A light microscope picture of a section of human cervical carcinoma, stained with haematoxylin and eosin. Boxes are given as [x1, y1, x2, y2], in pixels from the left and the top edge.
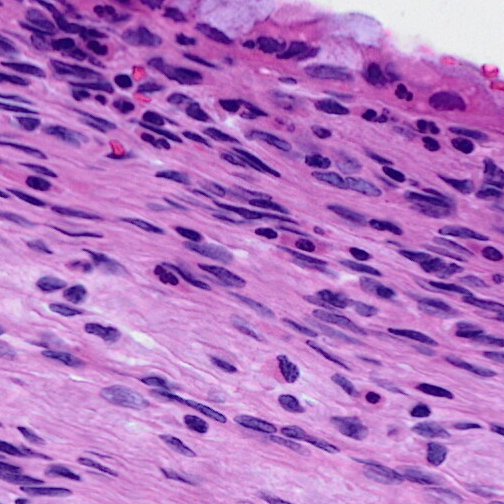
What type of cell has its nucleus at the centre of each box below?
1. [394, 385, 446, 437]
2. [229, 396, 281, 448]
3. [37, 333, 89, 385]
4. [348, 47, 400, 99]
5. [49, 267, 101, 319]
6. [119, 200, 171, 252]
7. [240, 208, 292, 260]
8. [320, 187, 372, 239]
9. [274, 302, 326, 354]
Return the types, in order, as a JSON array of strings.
["lymphocyte", "endothelial cell", "endothelial cell", "secretory epithelial cell", "lymphocyte", "fibroblast", "lymphocyte", "fibroblast", "fibroblast"]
